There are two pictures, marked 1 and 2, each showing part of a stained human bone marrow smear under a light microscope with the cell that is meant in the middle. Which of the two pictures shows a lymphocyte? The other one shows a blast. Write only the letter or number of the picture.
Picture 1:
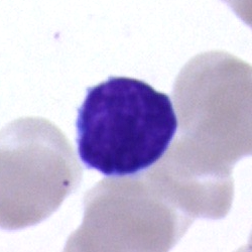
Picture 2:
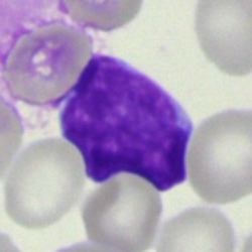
1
